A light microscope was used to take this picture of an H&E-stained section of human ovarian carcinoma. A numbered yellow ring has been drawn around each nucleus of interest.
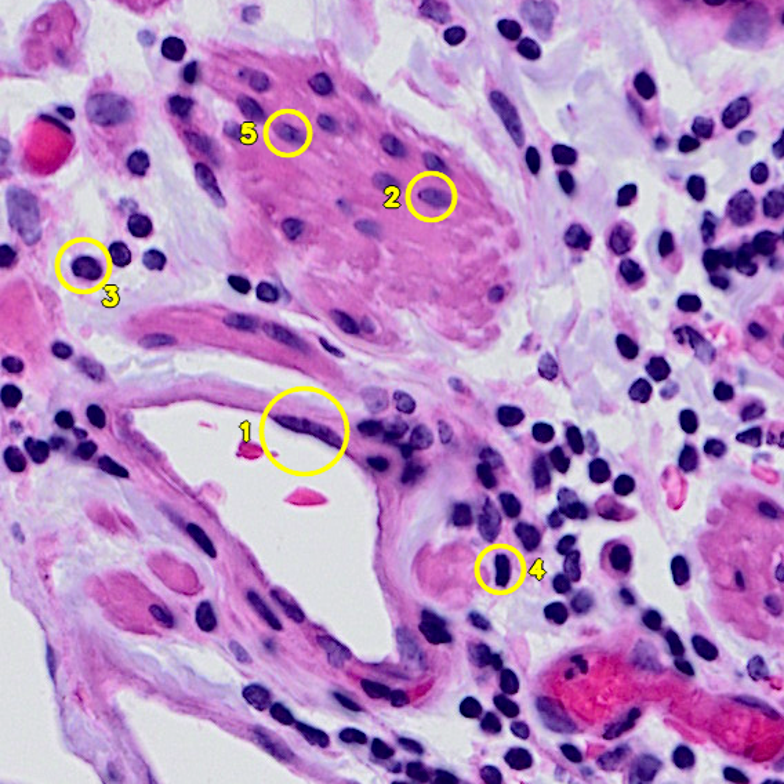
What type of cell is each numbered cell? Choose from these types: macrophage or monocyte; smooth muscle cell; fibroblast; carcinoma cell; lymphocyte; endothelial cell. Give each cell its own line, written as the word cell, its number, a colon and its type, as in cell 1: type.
cell 1: endothelial cell
cell 2: smooth muscle cell
cell 3: lymphocyte
cell 4: lymphocyte
cell 5: smooth muscle cell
